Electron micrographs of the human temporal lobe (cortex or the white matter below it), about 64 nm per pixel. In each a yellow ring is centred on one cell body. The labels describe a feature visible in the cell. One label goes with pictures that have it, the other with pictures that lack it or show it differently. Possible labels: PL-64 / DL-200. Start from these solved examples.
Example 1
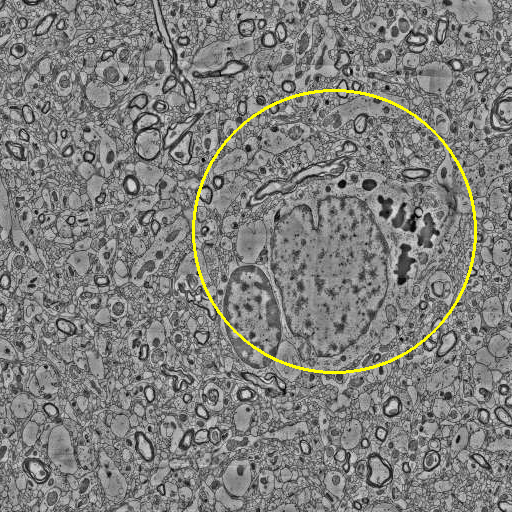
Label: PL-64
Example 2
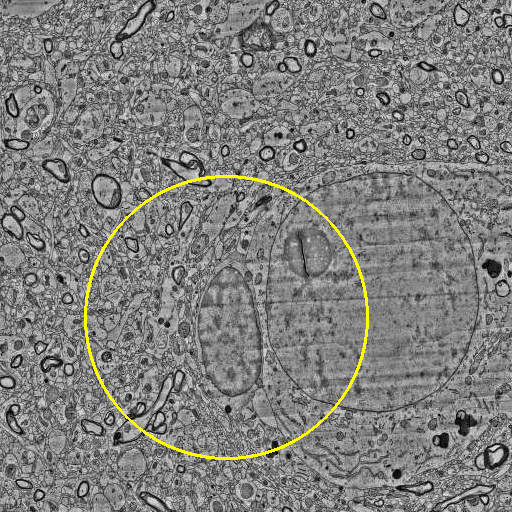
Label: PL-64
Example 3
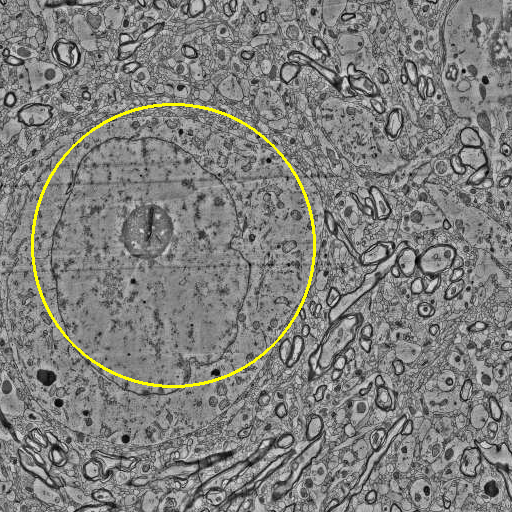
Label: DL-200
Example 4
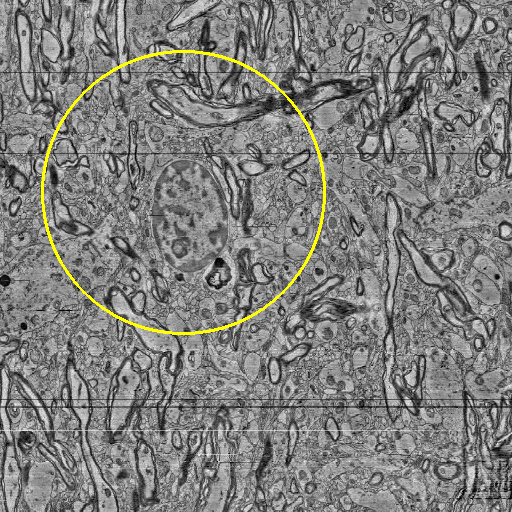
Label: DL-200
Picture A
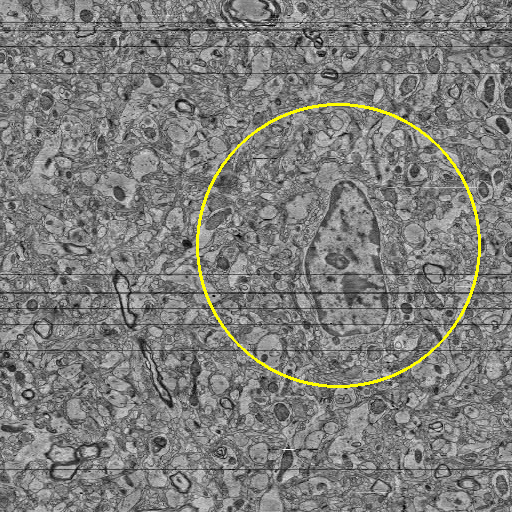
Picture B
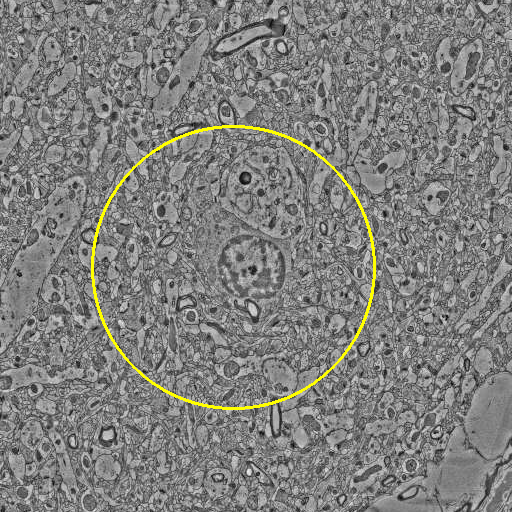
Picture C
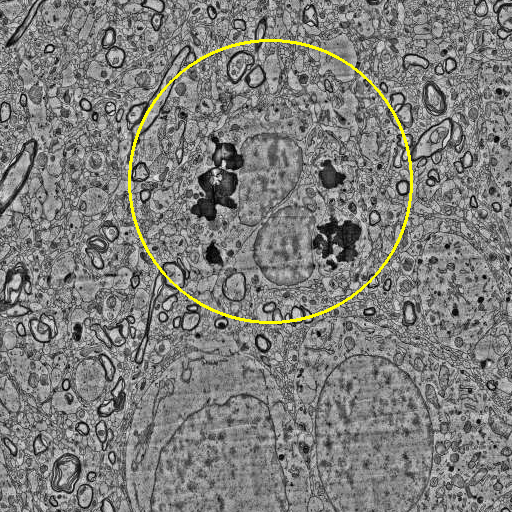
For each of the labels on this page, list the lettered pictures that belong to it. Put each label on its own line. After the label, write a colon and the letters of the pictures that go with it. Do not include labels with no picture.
PL-64: C
DL-200: A, B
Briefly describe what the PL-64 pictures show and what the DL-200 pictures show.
In PL-64: no nucleolus seen. In DL-200: nucleolus seen.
